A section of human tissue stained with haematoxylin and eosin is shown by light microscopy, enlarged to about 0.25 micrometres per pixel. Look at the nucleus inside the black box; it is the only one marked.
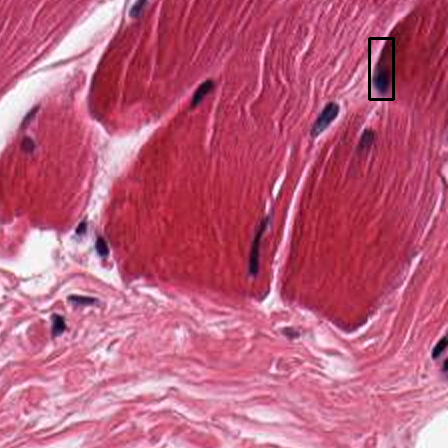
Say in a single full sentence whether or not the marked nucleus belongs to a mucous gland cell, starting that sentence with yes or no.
No, the marked nucleus is housed in a skeletal muscle fibre, not in a mucous gland cell.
